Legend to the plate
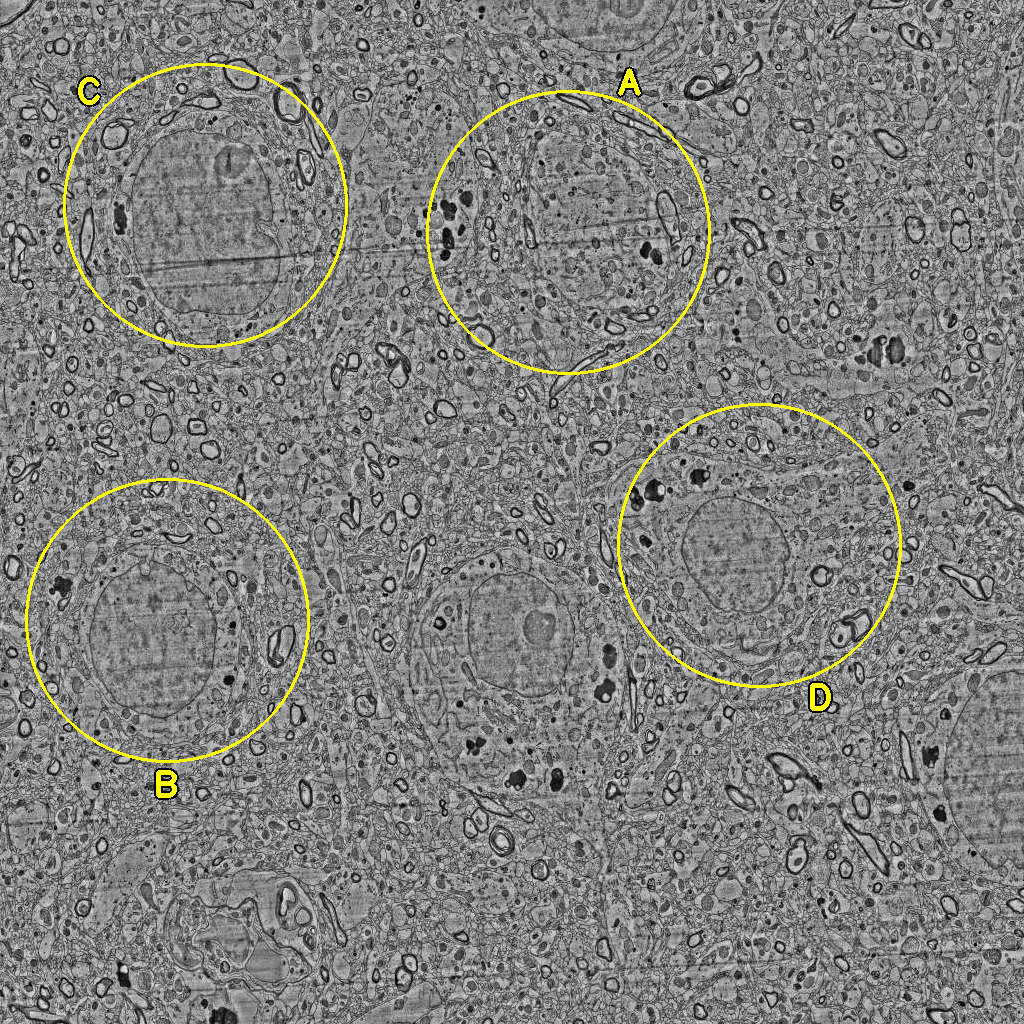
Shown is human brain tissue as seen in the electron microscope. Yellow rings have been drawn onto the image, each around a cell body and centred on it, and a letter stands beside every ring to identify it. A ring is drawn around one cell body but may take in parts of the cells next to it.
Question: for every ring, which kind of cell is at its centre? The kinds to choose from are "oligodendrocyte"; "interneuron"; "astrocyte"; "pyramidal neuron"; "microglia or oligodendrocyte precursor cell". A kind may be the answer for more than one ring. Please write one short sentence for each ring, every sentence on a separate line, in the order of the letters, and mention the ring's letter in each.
The kind of cell at the centre of ring A is a microglial cell or oligodendrocyte precursor cell.
The kind of cell at the centre of ring B is a pyramidal neuron.
The kind of cell at the centre of ring C is a pyramidal neuron.
The kind of cell at the centre of ring D is a pyramidal neuron.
